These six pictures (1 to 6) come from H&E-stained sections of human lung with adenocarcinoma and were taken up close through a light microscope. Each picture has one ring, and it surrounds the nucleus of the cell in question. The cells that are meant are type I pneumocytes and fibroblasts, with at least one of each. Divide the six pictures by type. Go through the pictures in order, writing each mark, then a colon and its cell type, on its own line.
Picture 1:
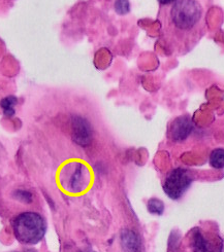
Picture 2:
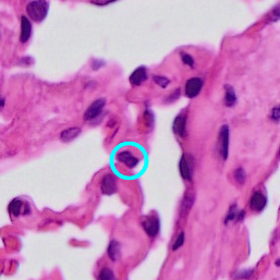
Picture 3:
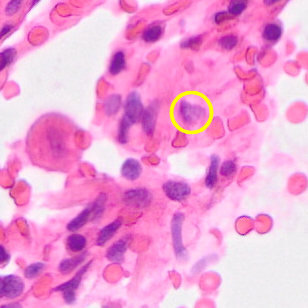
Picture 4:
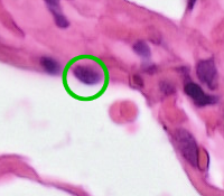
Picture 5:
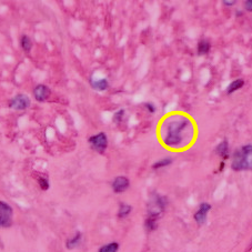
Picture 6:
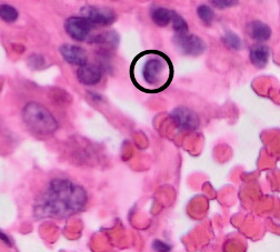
1: fibroblast
2: type I pneumocyte
3: type I pneumocyte
4: type I pneumocyte
5: fibroblast
6: type I pneumocyte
